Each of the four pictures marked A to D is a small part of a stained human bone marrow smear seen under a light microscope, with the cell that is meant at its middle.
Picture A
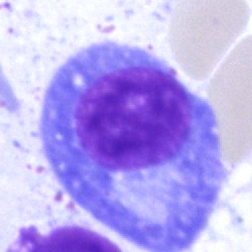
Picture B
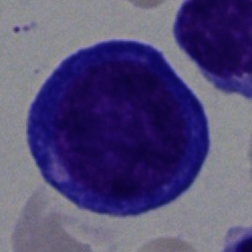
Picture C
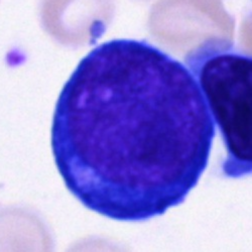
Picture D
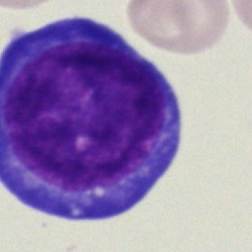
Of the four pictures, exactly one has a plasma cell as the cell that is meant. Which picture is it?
A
